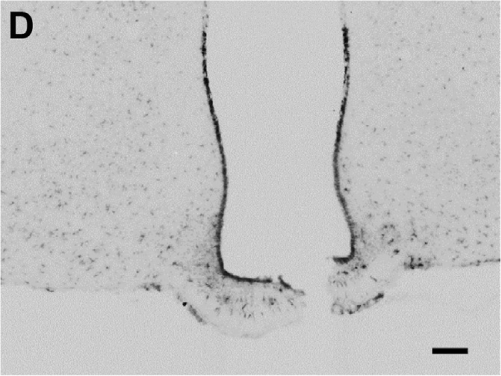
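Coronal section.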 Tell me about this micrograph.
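Here we look at the base of the hypothalamus around a narrow midline ventricle whose walls are lined by darkly stained tanycytes. Beneath the floor, in the median eminence, fine dark processes run radially toward the ventral surface of the brain. In the surrounding tissue on either side, smaller scattered stained cells are also visible.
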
